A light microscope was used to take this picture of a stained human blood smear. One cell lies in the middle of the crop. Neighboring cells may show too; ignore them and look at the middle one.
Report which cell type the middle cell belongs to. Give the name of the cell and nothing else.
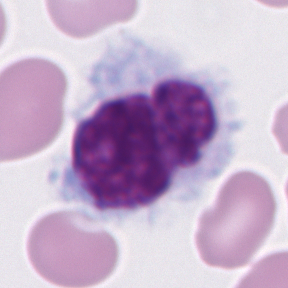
hairy cell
